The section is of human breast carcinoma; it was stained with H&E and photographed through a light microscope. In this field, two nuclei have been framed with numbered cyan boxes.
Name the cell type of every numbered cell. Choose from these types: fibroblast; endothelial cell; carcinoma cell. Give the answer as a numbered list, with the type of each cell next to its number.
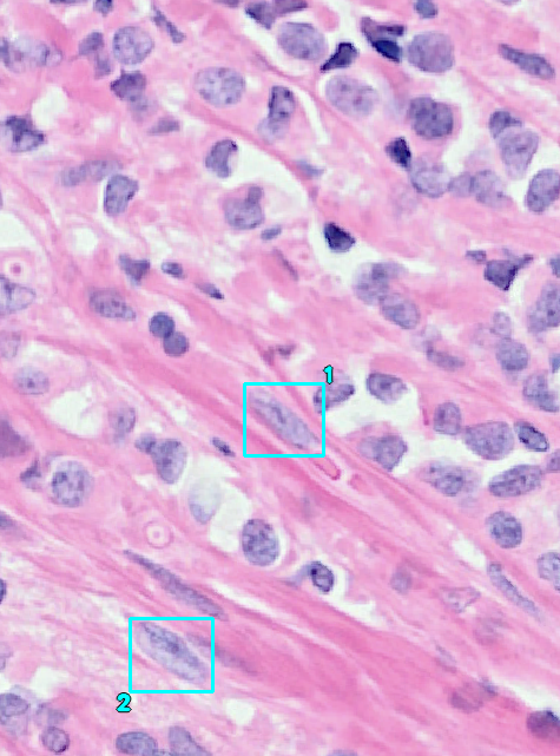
1. endothelial cell
2. fibroblast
